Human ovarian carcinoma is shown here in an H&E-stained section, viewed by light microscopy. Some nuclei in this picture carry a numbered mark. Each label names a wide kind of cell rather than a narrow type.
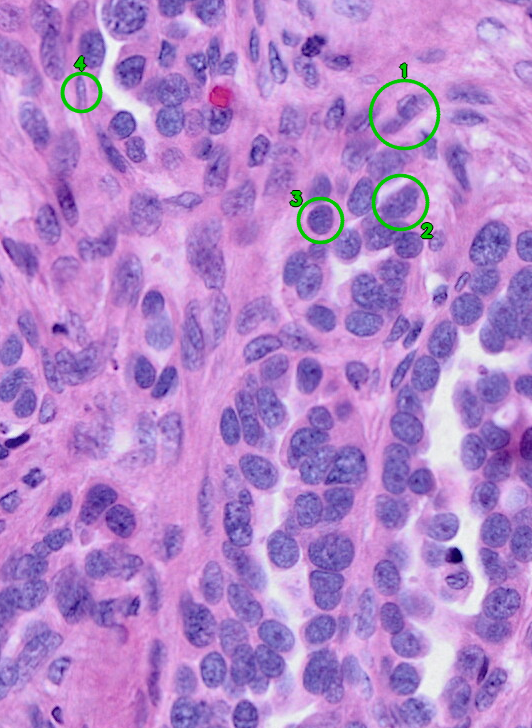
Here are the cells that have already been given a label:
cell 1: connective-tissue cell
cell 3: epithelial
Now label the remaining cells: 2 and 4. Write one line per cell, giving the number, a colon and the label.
2: epithelial
4: connective-tissue cell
